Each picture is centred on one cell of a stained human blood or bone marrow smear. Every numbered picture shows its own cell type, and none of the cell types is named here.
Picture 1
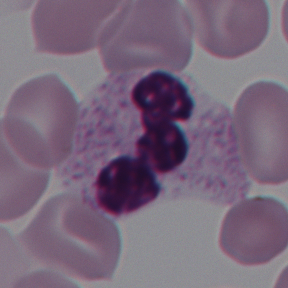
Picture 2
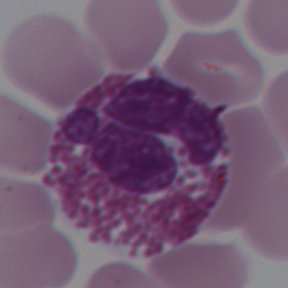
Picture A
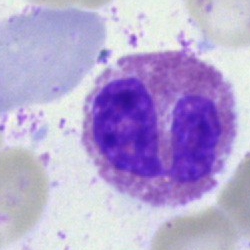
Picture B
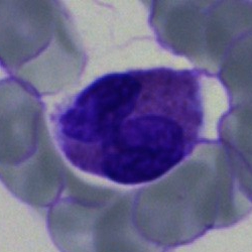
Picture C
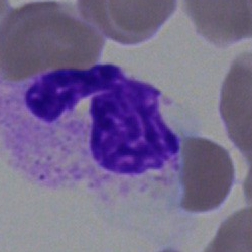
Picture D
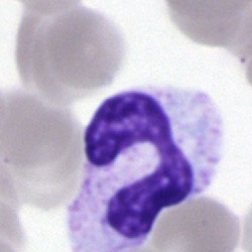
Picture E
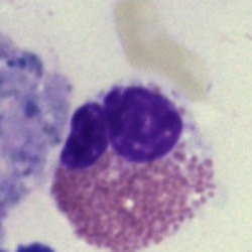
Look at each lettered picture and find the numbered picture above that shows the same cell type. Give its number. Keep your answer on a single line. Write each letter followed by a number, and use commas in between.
A 2, B 2, C 1, D 1, E 2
